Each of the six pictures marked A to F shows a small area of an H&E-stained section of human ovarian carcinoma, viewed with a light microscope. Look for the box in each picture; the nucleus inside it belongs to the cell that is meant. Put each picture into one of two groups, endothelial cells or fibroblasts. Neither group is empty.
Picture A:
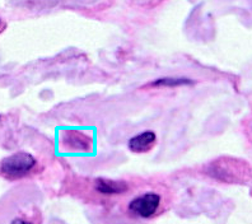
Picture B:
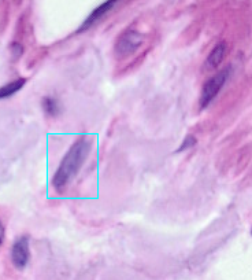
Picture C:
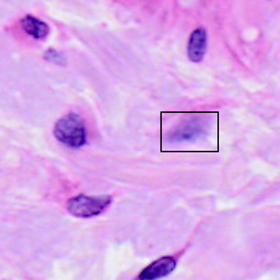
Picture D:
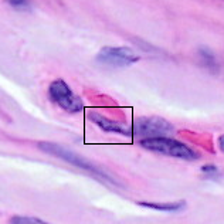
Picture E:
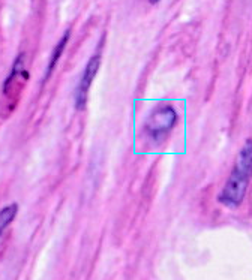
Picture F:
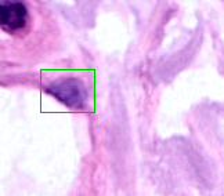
A: fibroblast
B: fibroblast
C: fibroblast
D: endothelial cell
E: fibroblast
F: endothelial cell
